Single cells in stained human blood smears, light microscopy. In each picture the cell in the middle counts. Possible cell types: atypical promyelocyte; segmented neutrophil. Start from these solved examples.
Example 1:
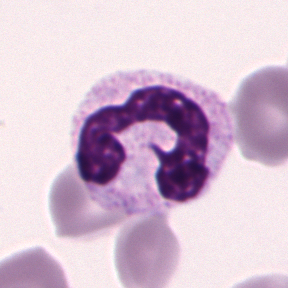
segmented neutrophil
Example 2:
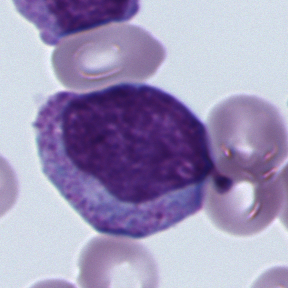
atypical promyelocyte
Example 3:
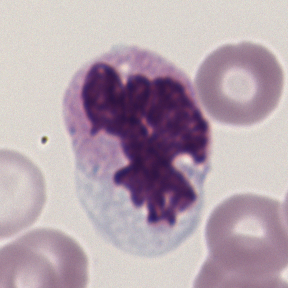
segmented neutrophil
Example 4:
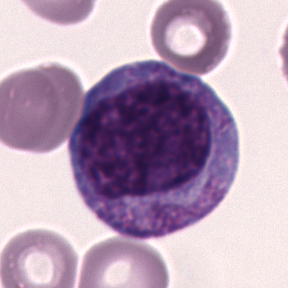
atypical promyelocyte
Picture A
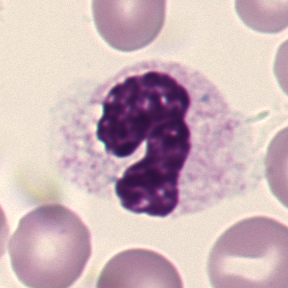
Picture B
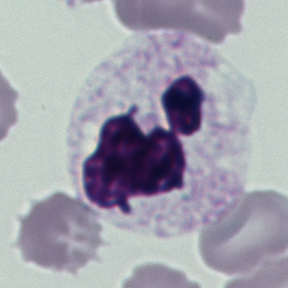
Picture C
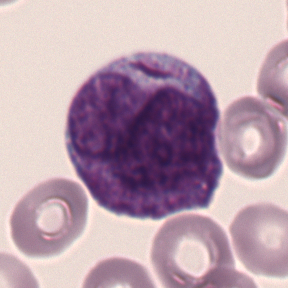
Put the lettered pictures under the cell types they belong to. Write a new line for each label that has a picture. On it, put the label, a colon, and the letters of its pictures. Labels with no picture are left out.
atypical promyelocyte: C
segmented neutrophil: A, B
